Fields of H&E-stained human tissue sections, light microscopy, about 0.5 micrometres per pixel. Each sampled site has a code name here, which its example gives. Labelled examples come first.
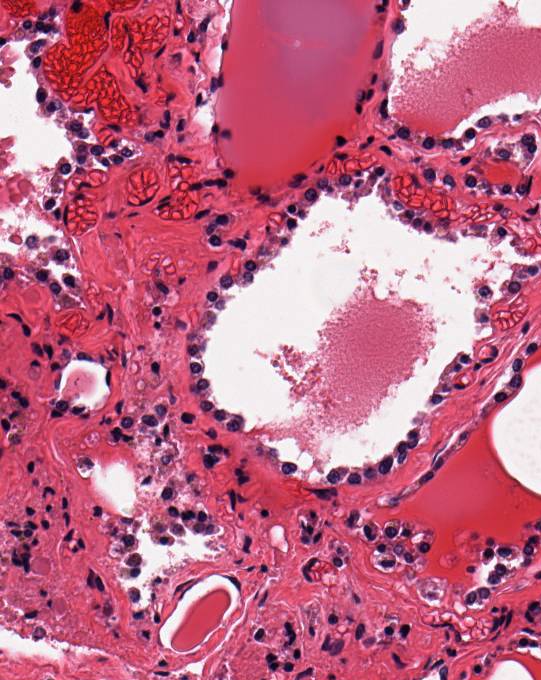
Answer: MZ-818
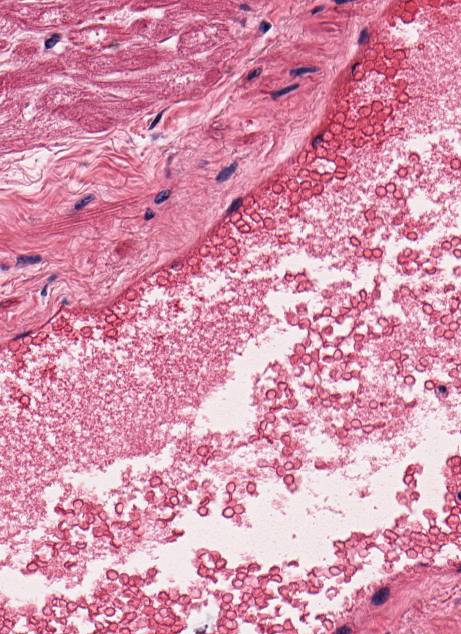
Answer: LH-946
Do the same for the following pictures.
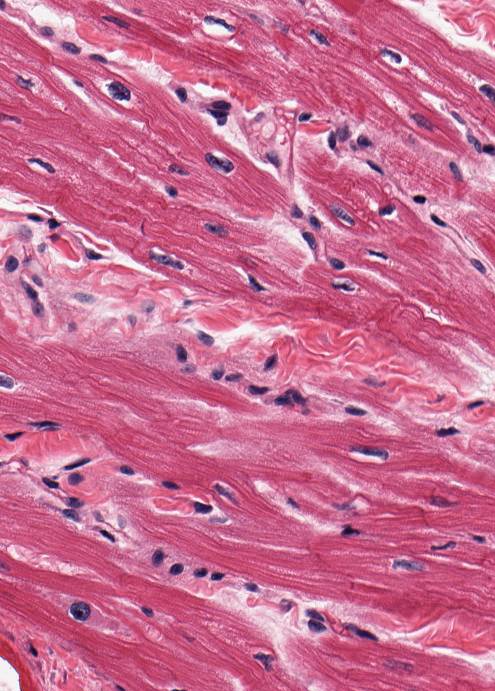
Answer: LH-946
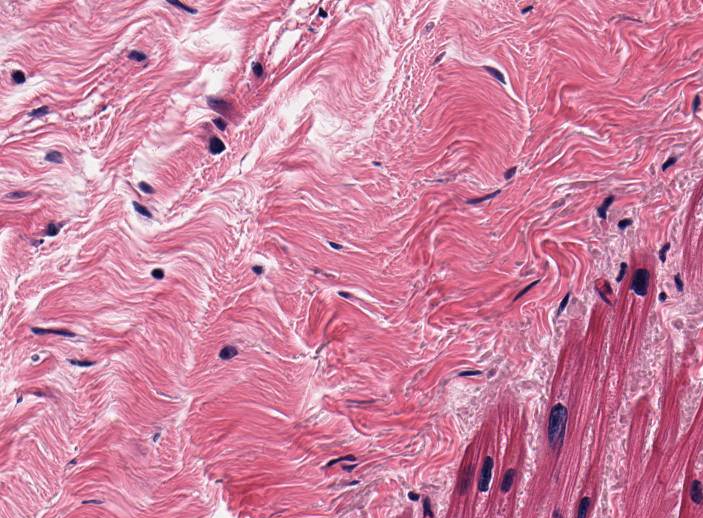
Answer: LH-946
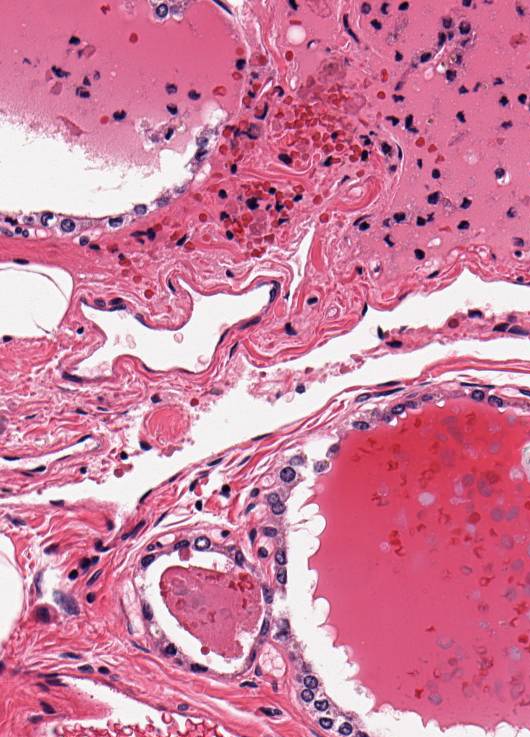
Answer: MZ-818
